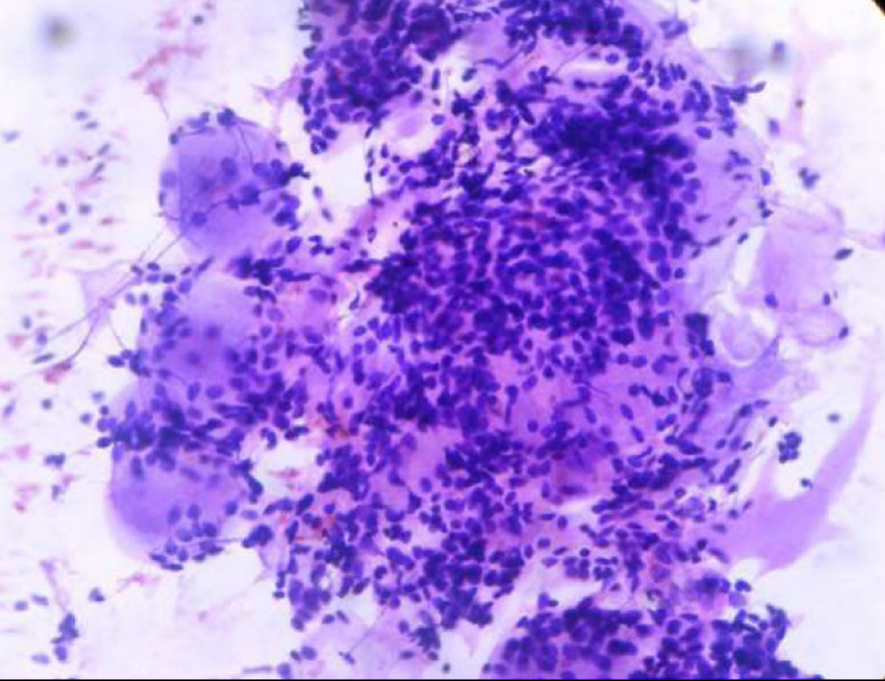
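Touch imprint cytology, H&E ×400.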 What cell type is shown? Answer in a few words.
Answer: Basaloid cells.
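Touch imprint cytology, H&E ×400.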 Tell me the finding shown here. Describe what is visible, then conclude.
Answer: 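Crowded small cells with dark nuclei around large rounded pale purple globules.
Answer: adenoid cystic carcinoma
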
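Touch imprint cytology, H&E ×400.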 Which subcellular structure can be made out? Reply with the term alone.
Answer: Hyperchromatic, angulated nuclei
